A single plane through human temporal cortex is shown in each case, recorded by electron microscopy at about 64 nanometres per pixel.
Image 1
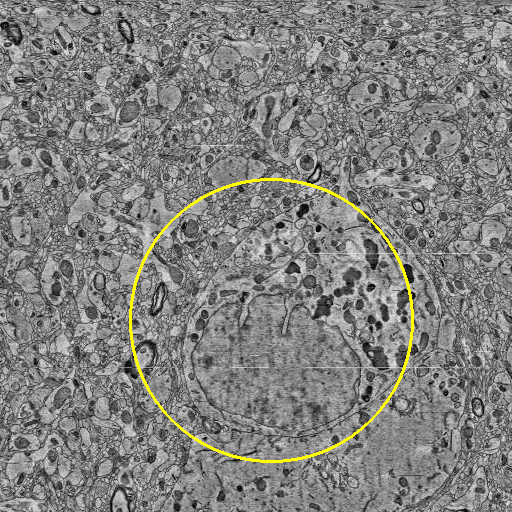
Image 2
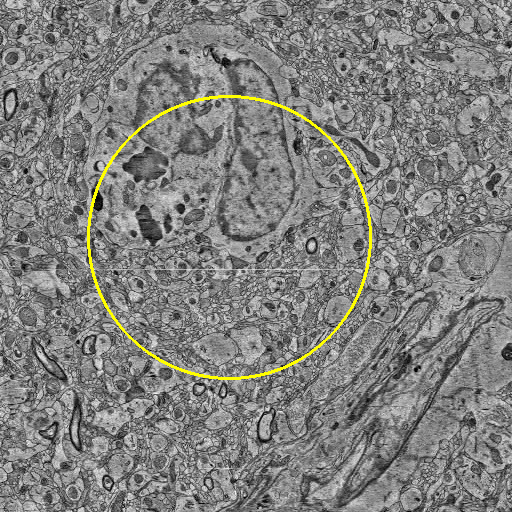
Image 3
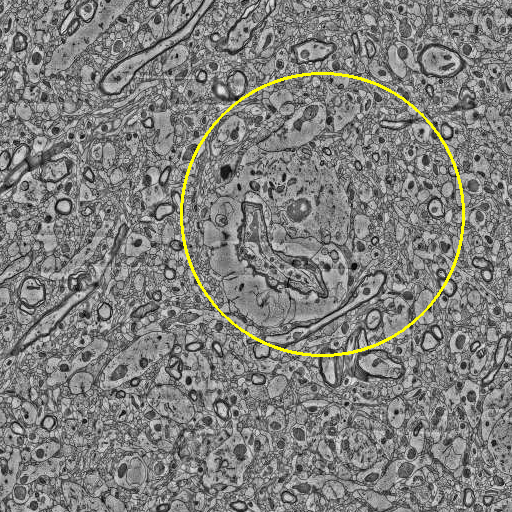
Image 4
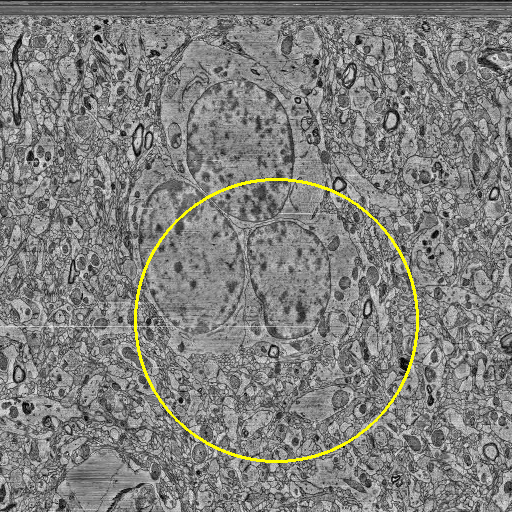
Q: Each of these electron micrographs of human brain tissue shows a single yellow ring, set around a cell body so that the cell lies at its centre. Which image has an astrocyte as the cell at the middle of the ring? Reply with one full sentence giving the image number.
In image 4, the cell lying at the ring's centre is the requested one.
